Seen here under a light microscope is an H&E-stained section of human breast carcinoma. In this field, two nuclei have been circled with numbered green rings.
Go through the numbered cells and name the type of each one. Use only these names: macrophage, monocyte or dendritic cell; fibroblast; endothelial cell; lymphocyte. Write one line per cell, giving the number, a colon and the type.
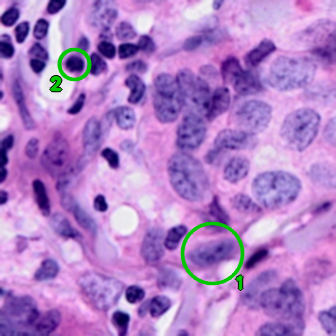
1: endothelial cell
2: lymphocyte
